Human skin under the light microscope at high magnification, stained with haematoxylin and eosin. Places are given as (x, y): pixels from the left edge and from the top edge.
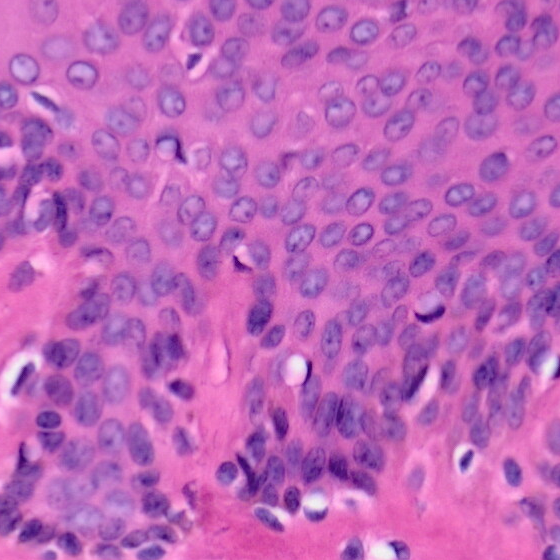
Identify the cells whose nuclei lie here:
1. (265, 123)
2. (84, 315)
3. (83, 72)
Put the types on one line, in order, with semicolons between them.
suprabasal keratinocyte; basal keratinocyte; suprabasal keratinocyte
